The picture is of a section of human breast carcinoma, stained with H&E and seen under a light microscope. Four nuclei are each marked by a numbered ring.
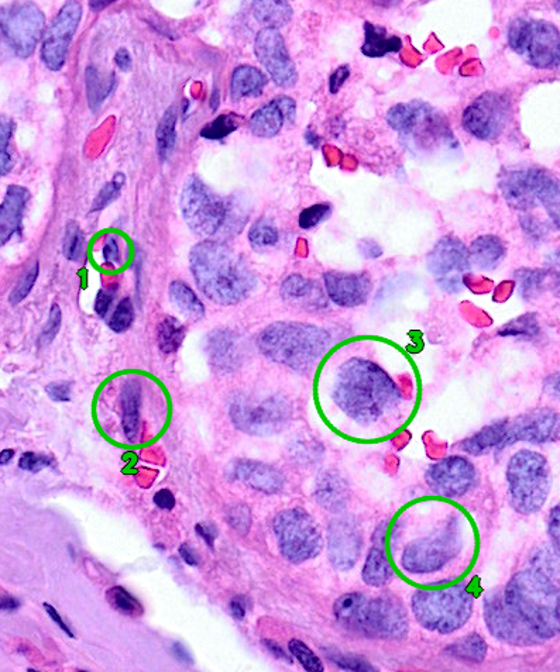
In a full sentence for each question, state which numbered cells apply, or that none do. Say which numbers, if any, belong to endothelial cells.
The cells that bear the numbers 1 and 2 are endothelial cells.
